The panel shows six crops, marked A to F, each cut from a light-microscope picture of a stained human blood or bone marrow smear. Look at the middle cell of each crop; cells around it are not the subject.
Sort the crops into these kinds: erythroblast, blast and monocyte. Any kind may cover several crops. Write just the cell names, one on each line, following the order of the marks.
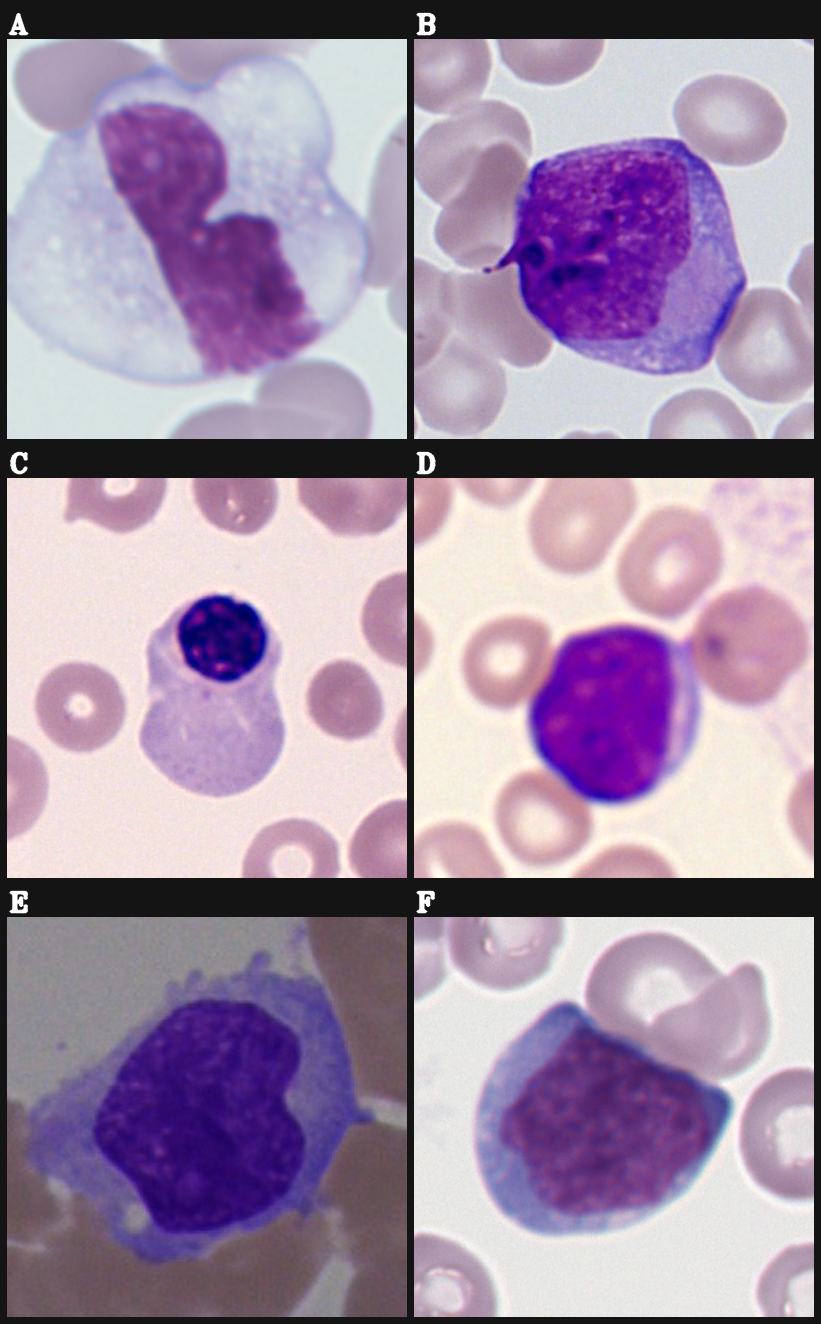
monocyte
blast
erythroblast
blast
monocyte
blast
